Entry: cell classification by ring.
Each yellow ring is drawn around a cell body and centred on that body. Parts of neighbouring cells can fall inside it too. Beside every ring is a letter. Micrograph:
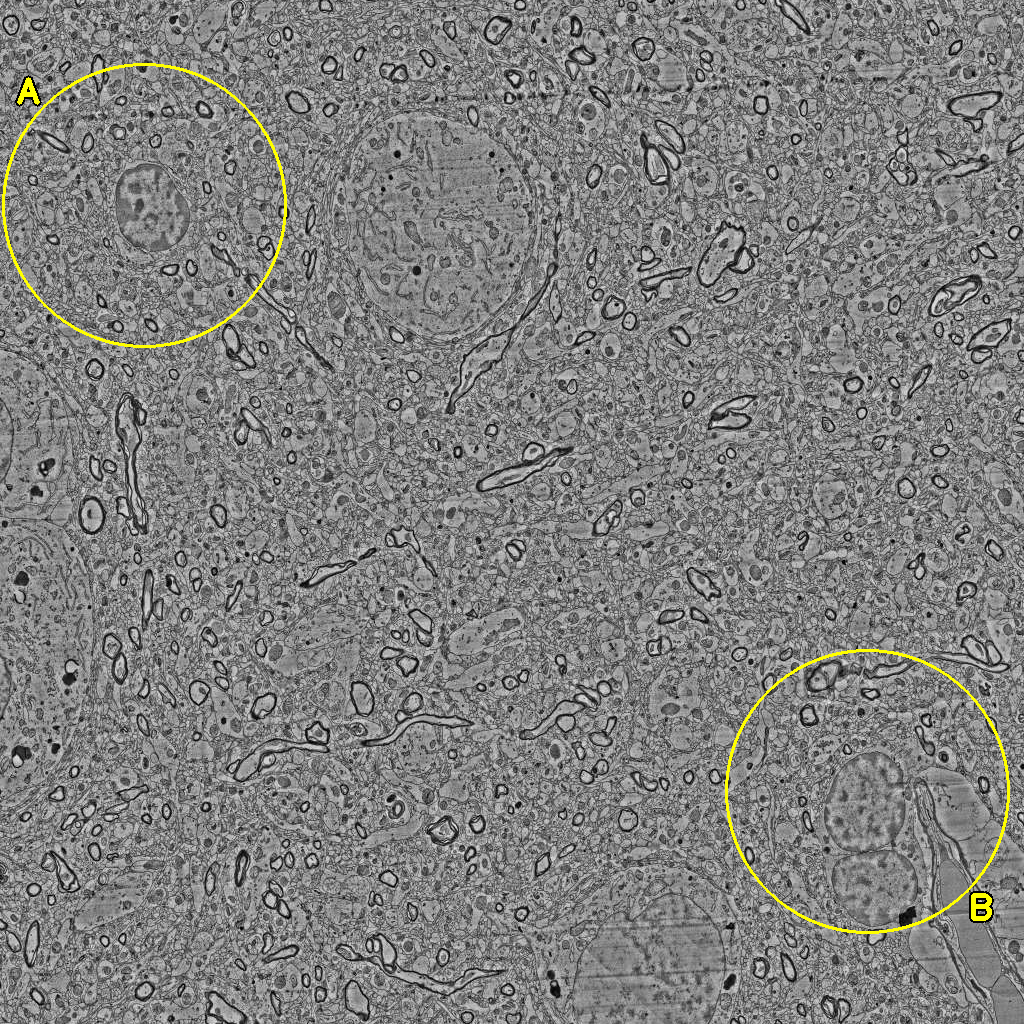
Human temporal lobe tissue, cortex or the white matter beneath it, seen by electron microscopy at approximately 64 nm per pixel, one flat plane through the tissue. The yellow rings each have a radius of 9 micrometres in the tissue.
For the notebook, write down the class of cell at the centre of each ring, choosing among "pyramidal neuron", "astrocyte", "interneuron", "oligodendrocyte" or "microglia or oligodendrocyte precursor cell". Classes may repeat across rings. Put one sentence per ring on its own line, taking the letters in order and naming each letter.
Ring A marks a microglial cell or oligodendrocyte precursor cell.
Ring B marks an oligodendrocyte.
